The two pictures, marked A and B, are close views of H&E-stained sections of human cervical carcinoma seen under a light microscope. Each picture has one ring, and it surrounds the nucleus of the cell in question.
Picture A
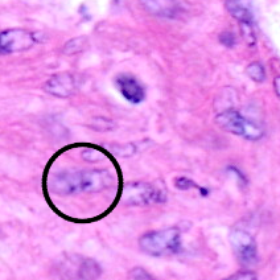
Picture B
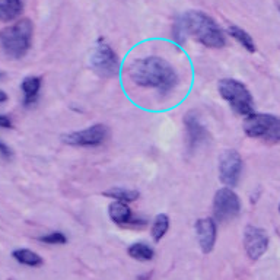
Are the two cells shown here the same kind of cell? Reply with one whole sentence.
No; the cell in picture A is a smooth muscle cell, while the one in picture B is a fibroblast.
